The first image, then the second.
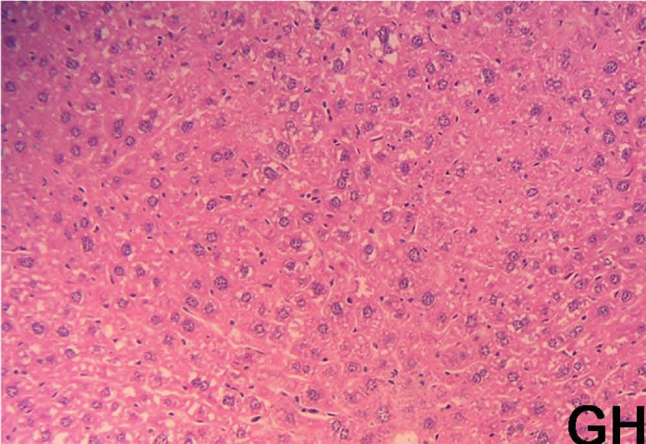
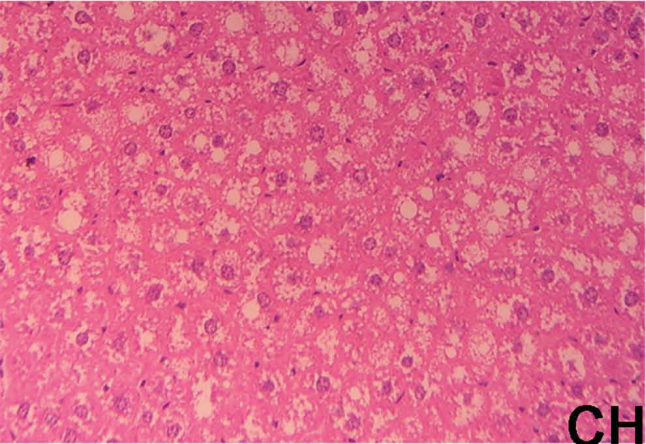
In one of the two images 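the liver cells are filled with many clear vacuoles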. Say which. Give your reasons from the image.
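Second image: many round clear vacuoles, some large, are scattered through the cytoplasm.
Hence: the second image.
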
